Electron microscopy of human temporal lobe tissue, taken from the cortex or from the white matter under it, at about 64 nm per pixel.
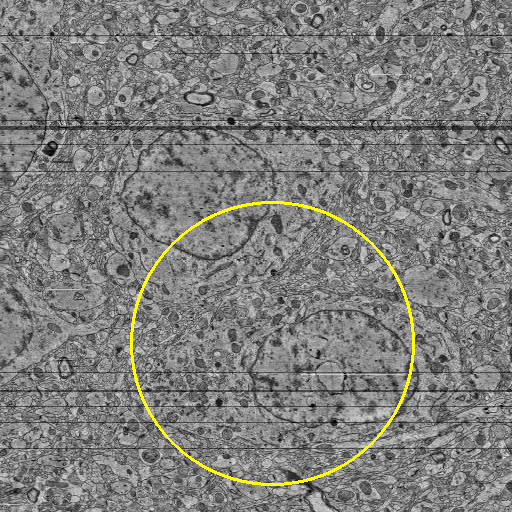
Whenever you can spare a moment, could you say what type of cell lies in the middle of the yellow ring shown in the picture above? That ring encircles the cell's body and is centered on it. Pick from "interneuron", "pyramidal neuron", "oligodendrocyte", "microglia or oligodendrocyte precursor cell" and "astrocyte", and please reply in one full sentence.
The cell whose body sits at the middle of the yellow ring is a pyramidal neuron.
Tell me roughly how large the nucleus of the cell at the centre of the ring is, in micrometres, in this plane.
In this plane the nucleus is about 11 micrometres by 8.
